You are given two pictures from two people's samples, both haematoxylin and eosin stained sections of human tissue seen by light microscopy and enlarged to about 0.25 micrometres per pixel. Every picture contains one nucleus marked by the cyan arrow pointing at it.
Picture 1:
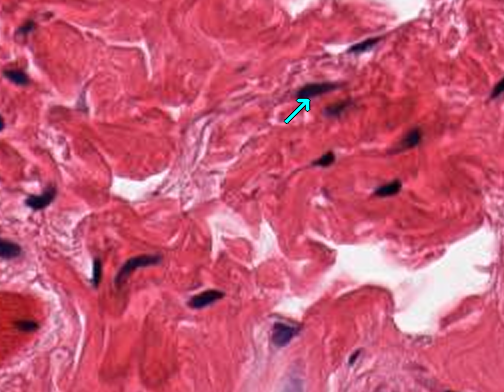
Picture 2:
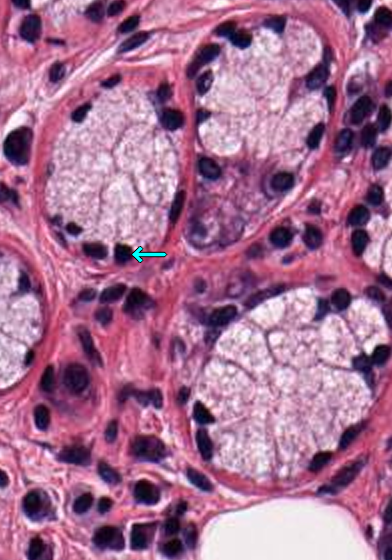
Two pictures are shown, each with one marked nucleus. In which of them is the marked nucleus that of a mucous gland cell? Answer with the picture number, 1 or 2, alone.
2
